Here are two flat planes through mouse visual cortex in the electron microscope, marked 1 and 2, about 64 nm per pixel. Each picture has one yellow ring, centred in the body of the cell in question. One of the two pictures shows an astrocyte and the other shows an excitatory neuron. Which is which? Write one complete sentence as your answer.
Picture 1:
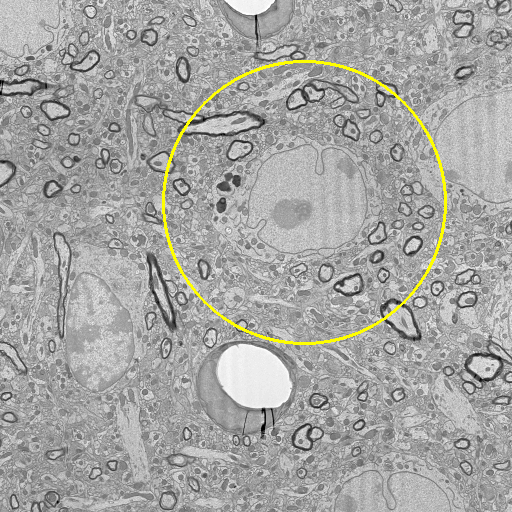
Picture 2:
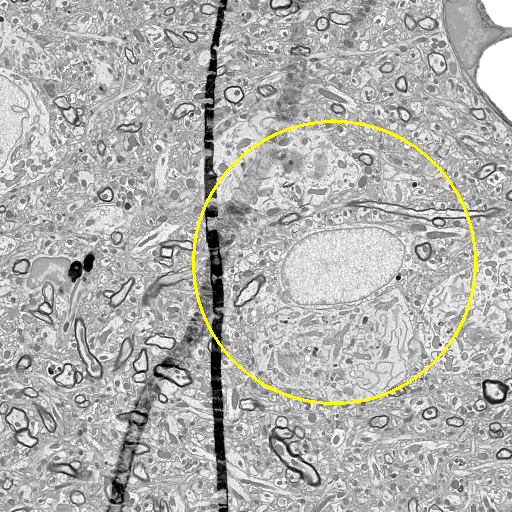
Picture 1 is of an excitatory neuron, and picture 2 is of an astrocyte.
